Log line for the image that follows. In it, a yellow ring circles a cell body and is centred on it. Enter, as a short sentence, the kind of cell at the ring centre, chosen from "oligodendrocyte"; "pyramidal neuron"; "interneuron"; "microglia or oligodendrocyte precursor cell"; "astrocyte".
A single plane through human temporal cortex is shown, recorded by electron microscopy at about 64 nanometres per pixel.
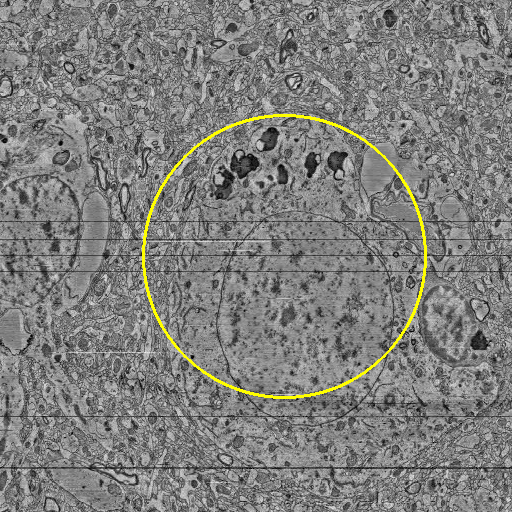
The ring centre is occupied by a pyramidal neuron.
